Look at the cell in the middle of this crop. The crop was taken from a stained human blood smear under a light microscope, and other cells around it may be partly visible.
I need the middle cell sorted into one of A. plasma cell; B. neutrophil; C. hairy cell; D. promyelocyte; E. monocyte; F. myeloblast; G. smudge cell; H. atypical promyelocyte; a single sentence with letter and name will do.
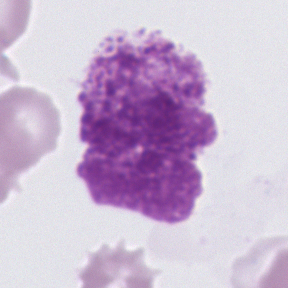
It is a smudge cell that occupies the centre of the crop, so option G is correct.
